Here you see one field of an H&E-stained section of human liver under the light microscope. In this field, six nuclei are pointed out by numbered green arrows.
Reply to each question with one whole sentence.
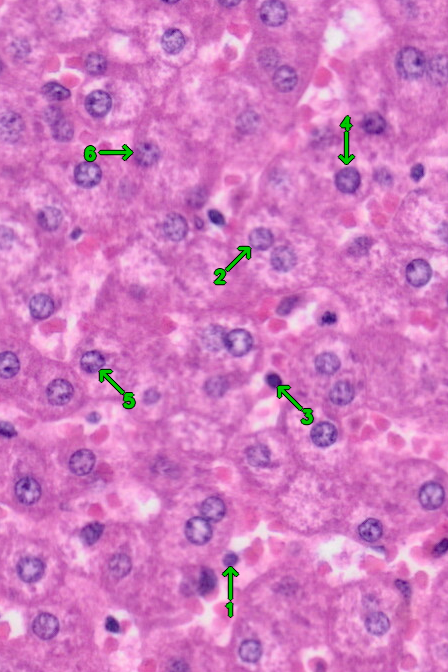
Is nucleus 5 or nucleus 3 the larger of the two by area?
The larger nucleus is 5, at roughly 2 times the area of 3.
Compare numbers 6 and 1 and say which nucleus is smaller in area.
With nucleus 6 about 2 times its size, nucleus 1 is the smaller of the two.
